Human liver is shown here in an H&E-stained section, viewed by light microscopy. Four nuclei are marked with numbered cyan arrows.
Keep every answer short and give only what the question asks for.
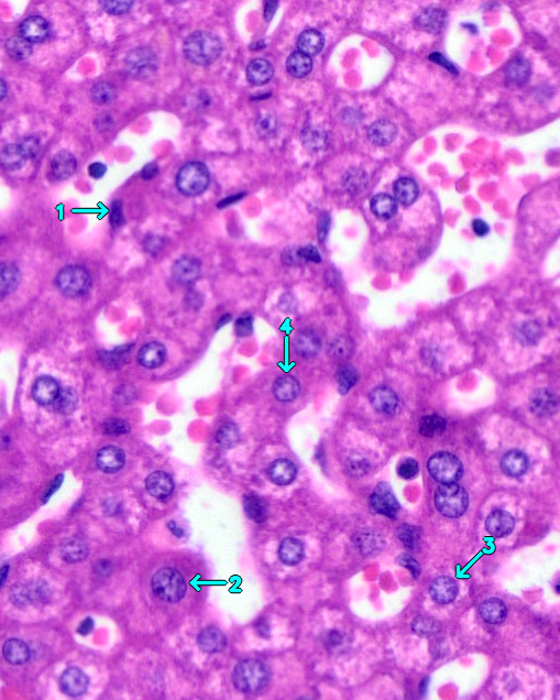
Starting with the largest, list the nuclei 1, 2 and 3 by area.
2, 3, 1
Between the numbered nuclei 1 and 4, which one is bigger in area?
4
